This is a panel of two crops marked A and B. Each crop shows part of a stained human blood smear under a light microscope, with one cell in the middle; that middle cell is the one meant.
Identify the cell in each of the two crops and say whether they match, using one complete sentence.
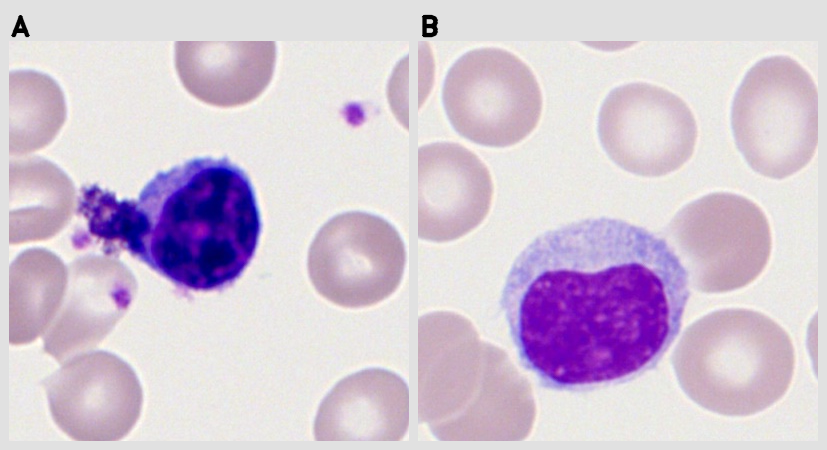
Yes, the centred cells are lymphocytes in both crops.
